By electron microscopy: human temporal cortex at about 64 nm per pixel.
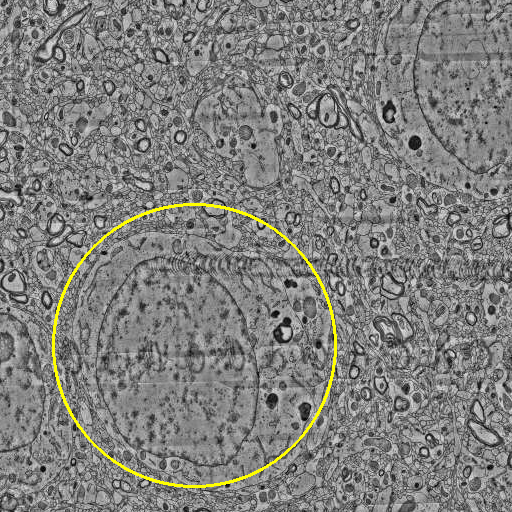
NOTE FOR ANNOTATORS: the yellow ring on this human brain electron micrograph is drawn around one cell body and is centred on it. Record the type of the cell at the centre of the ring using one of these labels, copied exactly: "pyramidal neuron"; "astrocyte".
pyramidal neuron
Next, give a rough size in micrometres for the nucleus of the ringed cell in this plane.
In this plane, about 14 micrometres in length and 10 in width.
